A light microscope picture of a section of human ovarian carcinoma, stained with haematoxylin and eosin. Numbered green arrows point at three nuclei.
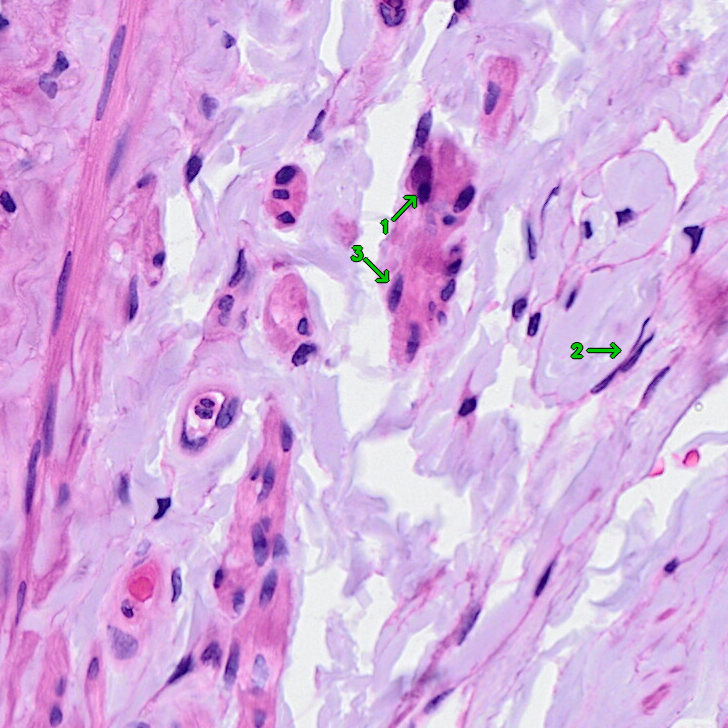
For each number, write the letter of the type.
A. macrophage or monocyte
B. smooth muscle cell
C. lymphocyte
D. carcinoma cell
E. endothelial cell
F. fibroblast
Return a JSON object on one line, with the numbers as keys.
{"1": "B", "2": "F", "3": "B"}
